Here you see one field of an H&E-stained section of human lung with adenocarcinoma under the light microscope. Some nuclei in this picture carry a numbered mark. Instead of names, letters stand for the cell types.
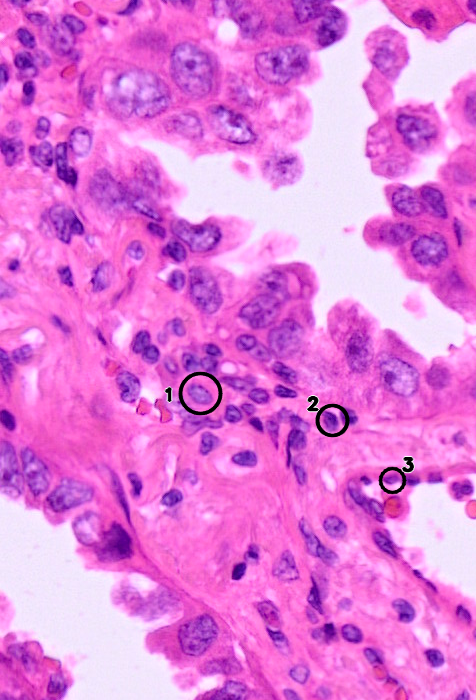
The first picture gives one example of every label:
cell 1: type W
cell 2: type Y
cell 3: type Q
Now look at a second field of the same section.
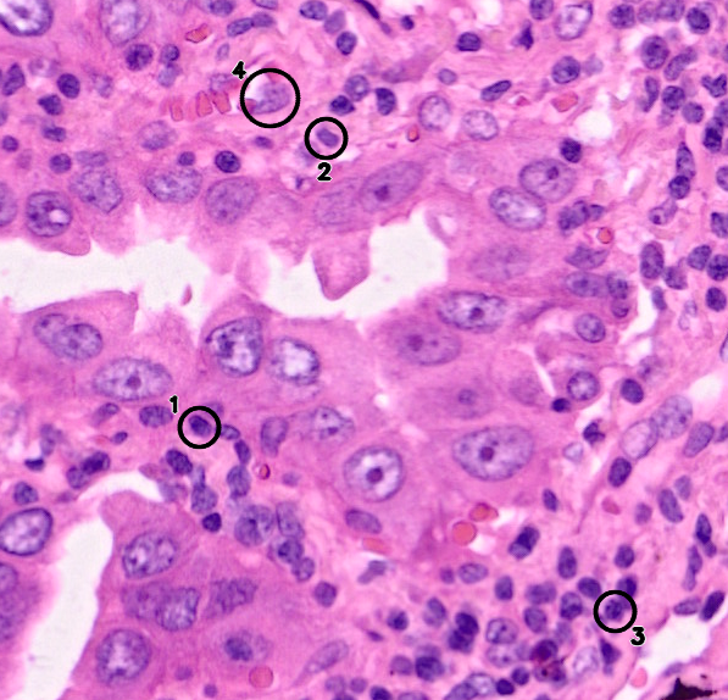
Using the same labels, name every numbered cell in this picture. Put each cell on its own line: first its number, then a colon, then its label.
1: type Y
2: type Y
3: type Y
4: type Q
